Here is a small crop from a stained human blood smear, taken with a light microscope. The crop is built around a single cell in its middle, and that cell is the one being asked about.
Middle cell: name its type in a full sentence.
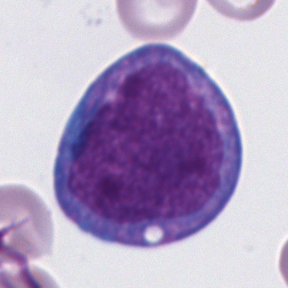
The centrally located cell in the crop is a promyelocyte.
